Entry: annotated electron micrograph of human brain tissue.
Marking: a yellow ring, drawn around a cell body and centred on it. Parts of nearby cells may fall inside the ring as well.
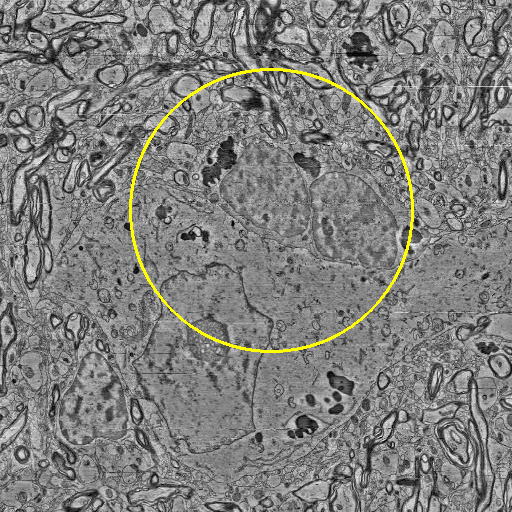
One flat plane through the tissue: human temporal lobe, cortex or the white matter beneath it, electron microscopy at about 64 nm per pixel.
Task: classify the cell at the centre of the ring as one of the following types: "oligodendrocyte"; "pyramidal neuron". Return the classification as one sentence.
The marked cell is classified as an oligodendrocyte.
